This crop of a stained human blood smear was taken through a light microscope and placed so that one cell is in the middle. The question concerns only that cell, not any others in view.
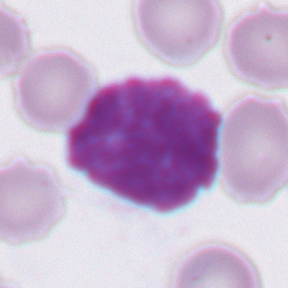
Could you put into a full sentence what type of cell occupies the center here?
Regarding the central cell, it is a smudge cell.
